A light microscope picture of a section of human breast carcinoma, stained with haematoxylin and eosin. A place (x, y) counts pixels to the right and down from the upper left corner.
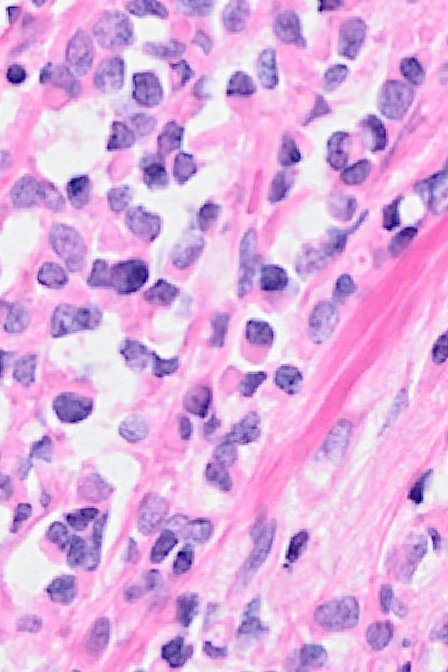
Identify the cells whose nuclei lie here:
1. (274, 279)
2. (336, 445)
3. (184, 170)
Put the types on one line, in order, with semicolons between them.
carcinoma cell; fibroblast; carcinoma cell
